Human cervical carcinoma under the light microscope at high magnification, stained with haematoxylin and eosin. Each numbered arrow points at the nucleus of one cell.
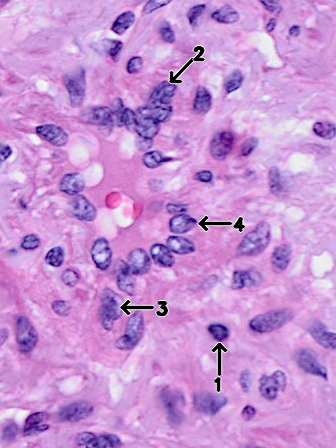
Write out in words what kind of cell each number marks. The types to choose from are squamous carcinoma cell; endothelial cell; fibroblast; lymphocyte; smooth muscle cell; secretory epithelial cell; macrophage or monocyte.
Cell 1 is a lymphocyte, cell 2 is an endothelial cell, cell 3 is an endothelial cell and cell 4 is an endothelial cell.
